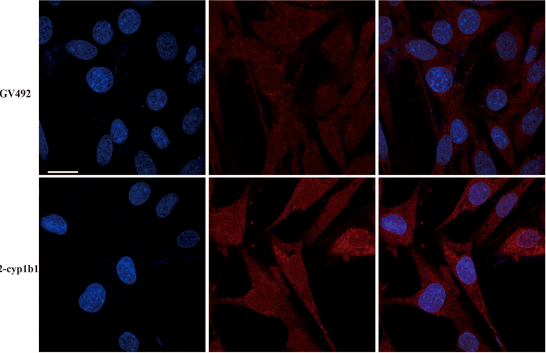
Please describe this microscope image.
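A finely granular red stain fills the cytoplasm around each nucleus and spreads out into flattened, irregular cell bodies, some drawn out into long tapering extensions. In the lower row the red cytoplasm is brighter and the cells look more spread and elongated.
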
